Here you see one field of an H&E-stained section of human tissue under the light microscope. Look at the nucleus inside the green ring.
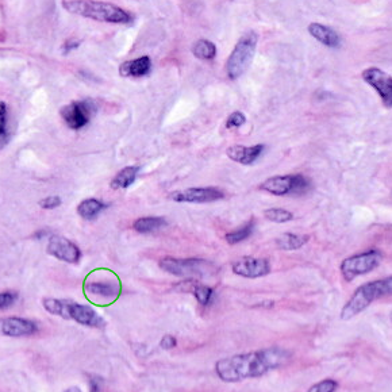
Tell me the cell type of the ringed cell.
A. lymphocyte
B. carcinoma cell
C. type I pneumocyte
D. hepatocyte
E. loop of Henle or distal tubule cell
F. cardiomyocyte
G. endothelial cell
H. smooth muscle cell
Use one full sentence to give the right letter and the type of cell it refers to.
The right pick is option H; the ringed cell is a smooth muscle cell.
